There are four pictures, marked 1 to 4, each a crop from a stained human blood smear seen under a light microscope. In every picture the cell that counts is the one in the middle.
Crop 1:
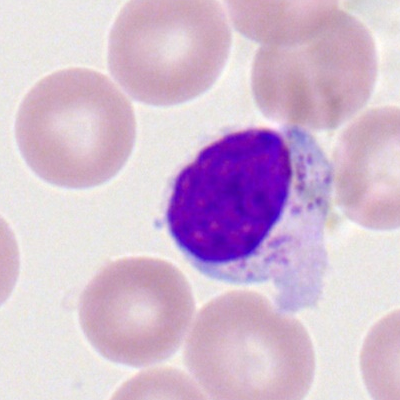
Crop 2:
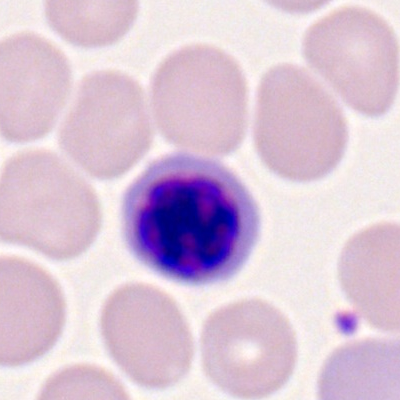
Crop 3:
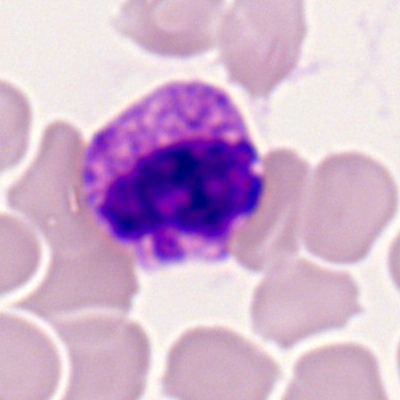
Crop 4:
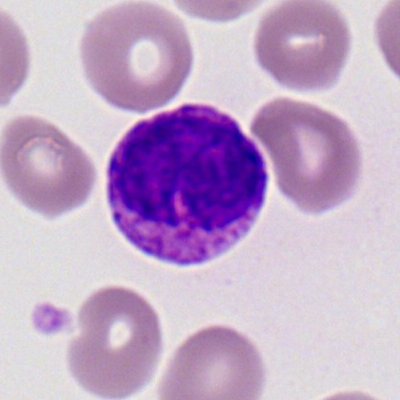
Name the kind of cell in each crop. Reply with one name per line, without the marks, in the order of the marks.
lymphocyte
erythroblast
basophil
basophil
